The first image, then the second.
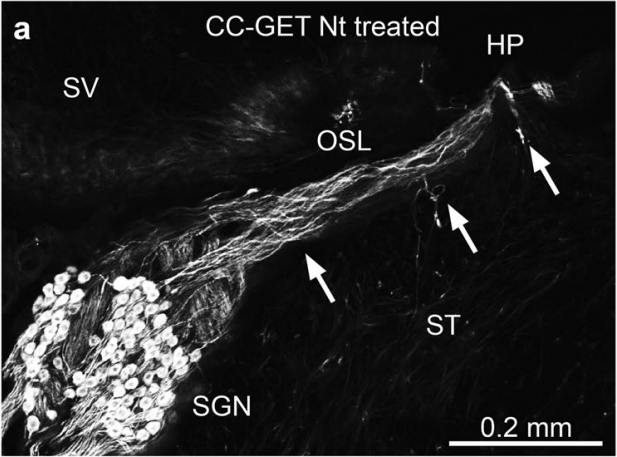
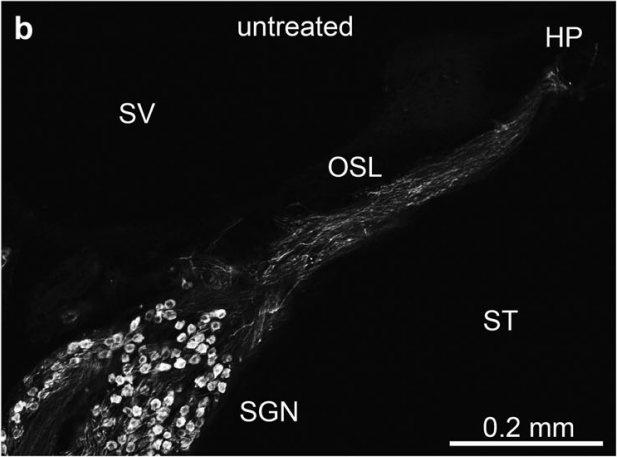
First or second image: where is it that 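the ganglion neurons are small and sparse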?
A: The second image.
